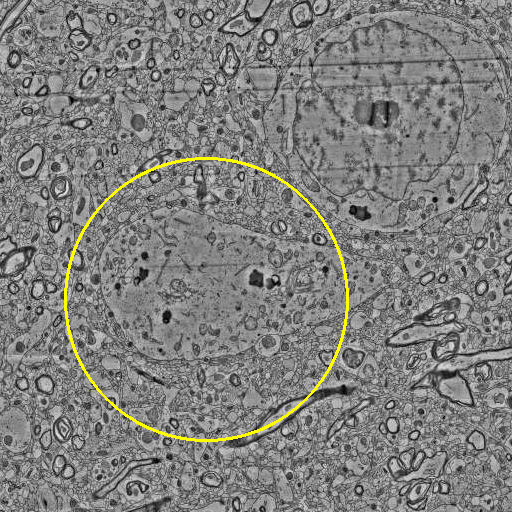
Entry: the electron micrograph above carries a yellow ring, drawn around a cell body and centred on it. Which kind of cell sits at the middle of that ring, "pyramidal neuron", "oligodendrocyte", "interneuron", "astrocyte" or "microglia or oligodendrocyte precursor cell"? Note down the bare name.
pyramidal neuron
